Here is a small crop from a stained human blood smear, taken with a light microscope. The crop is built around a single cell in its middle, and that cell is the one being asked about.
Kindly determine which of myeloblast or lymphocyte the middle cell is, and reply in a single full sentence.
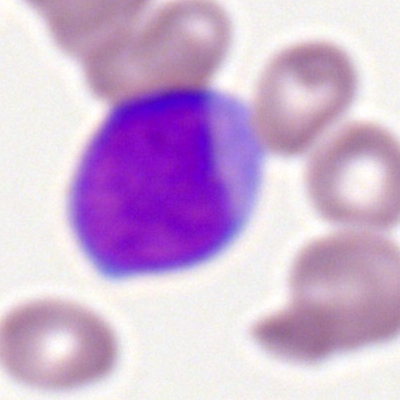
Standing at the centre of this crop is a myeloblast.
